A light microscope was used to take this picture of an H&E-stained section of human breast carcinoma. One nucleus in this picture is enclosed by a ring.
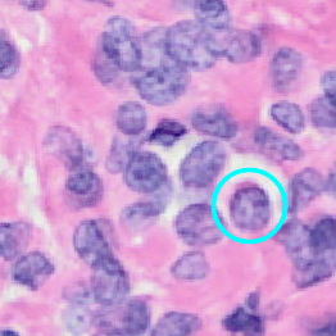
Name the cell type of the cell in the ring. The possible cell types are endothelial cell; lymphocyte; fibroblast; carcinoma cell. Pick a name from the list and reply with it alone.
carcinoma cell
